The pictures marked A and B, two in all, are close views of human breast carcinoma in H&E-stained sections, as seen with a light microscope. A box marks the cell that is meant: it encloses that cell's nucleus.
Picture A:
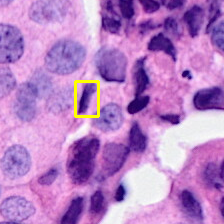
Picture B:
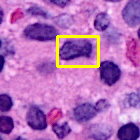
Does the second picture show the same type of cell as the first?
yes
